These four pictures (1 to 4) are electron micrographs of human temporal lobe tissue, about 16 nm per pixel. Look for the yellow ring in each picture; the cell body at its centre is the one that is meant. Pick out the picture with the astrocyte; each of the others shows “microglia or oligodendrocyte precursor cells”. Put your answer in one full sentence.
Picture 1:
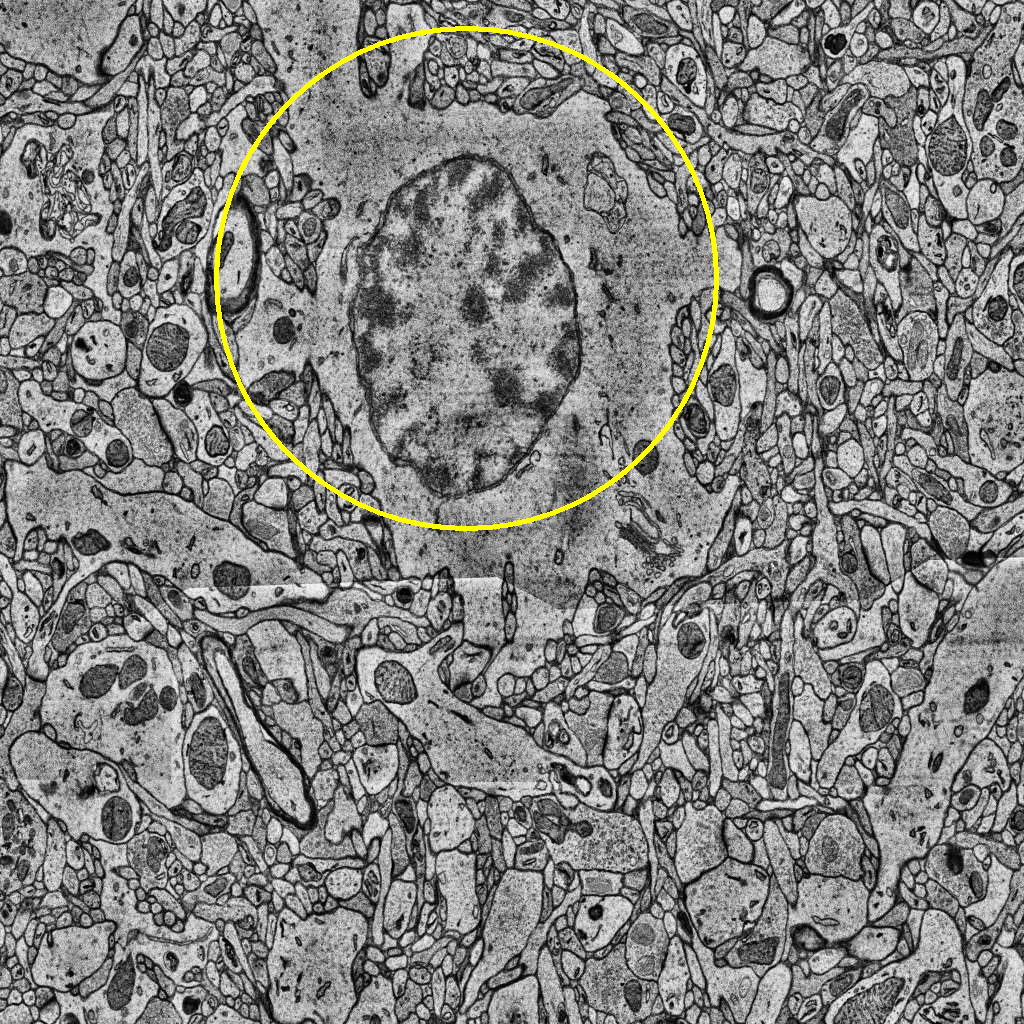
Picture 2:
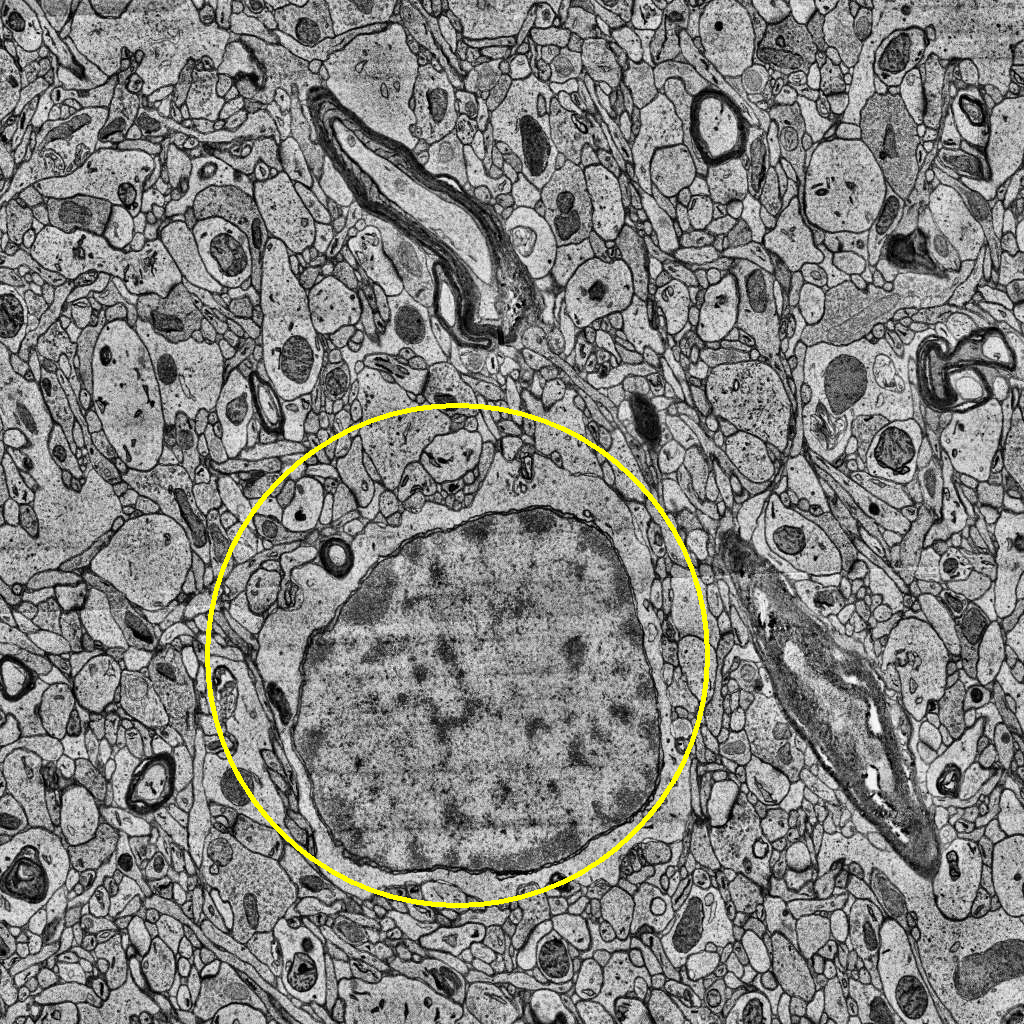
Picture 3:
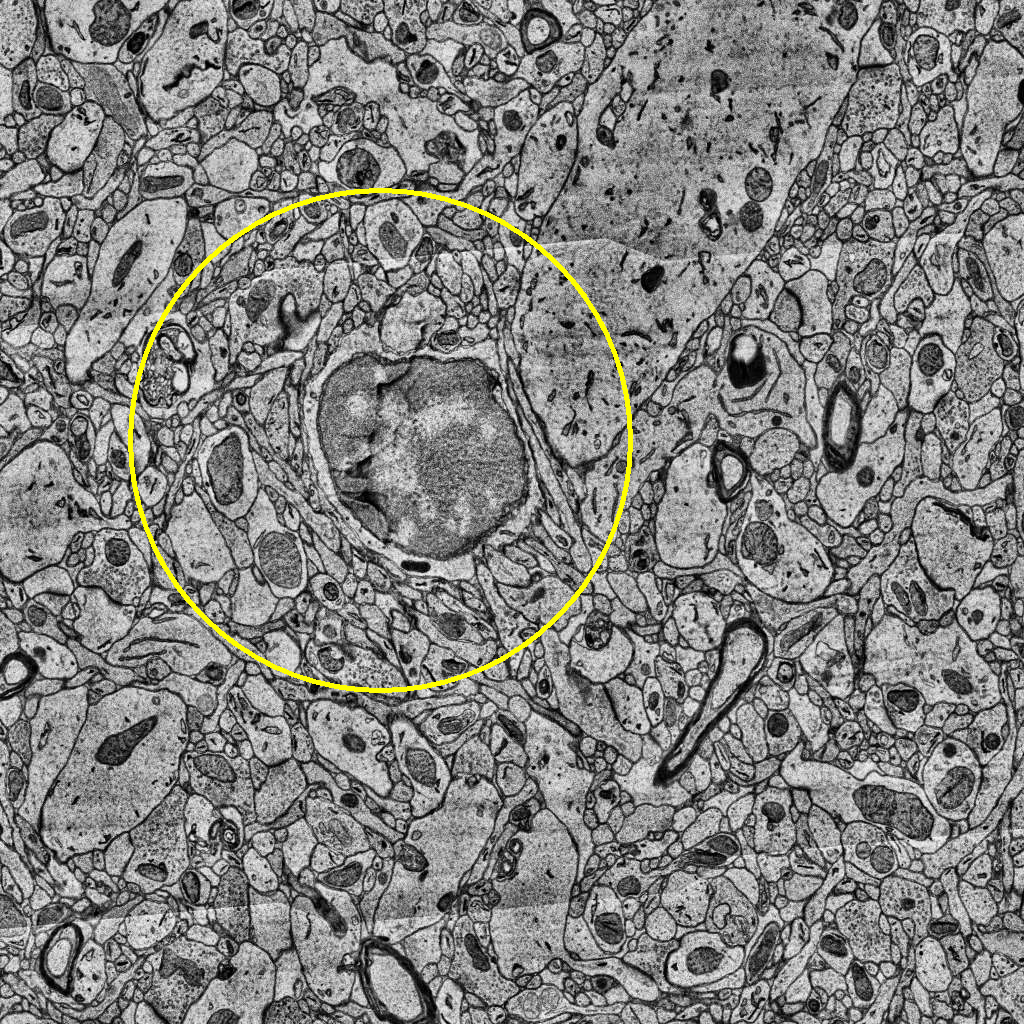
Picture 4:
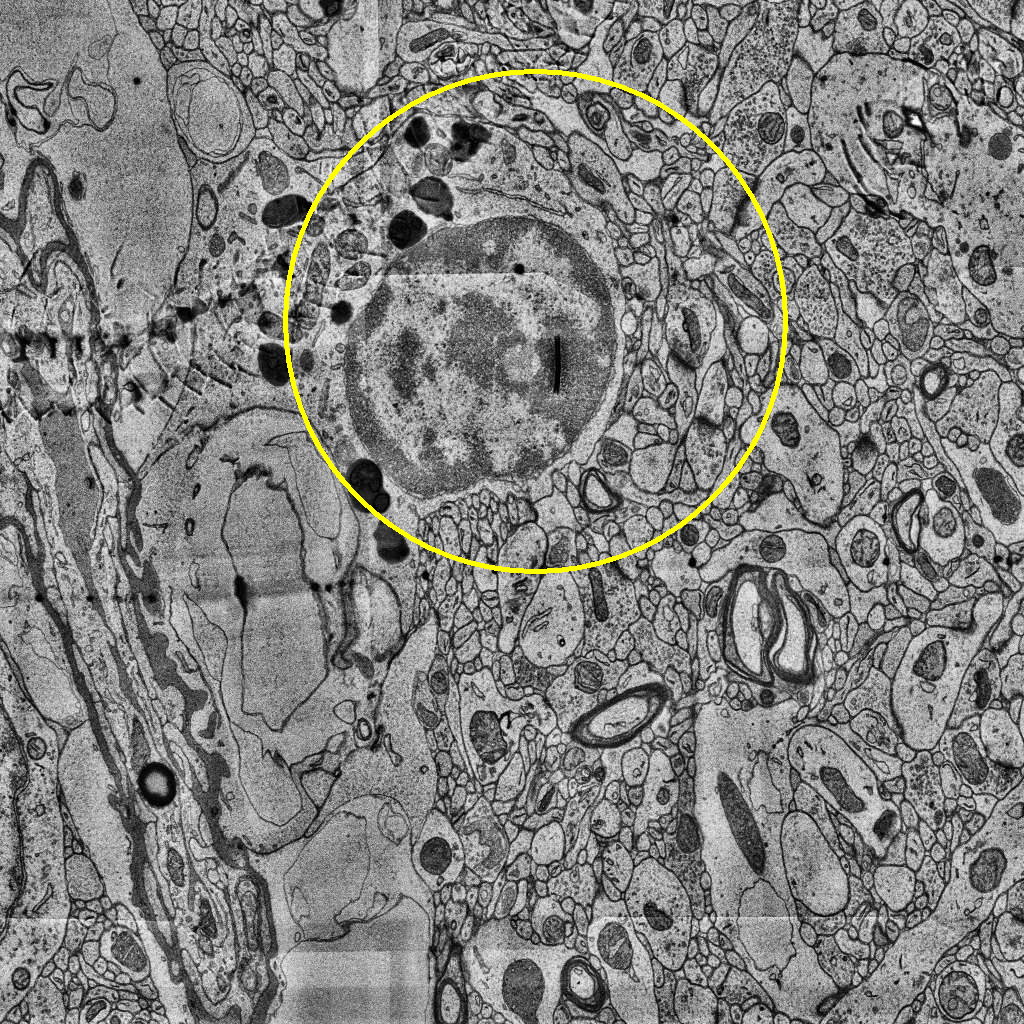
Picture 1 is the one that shows the astrocyte.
